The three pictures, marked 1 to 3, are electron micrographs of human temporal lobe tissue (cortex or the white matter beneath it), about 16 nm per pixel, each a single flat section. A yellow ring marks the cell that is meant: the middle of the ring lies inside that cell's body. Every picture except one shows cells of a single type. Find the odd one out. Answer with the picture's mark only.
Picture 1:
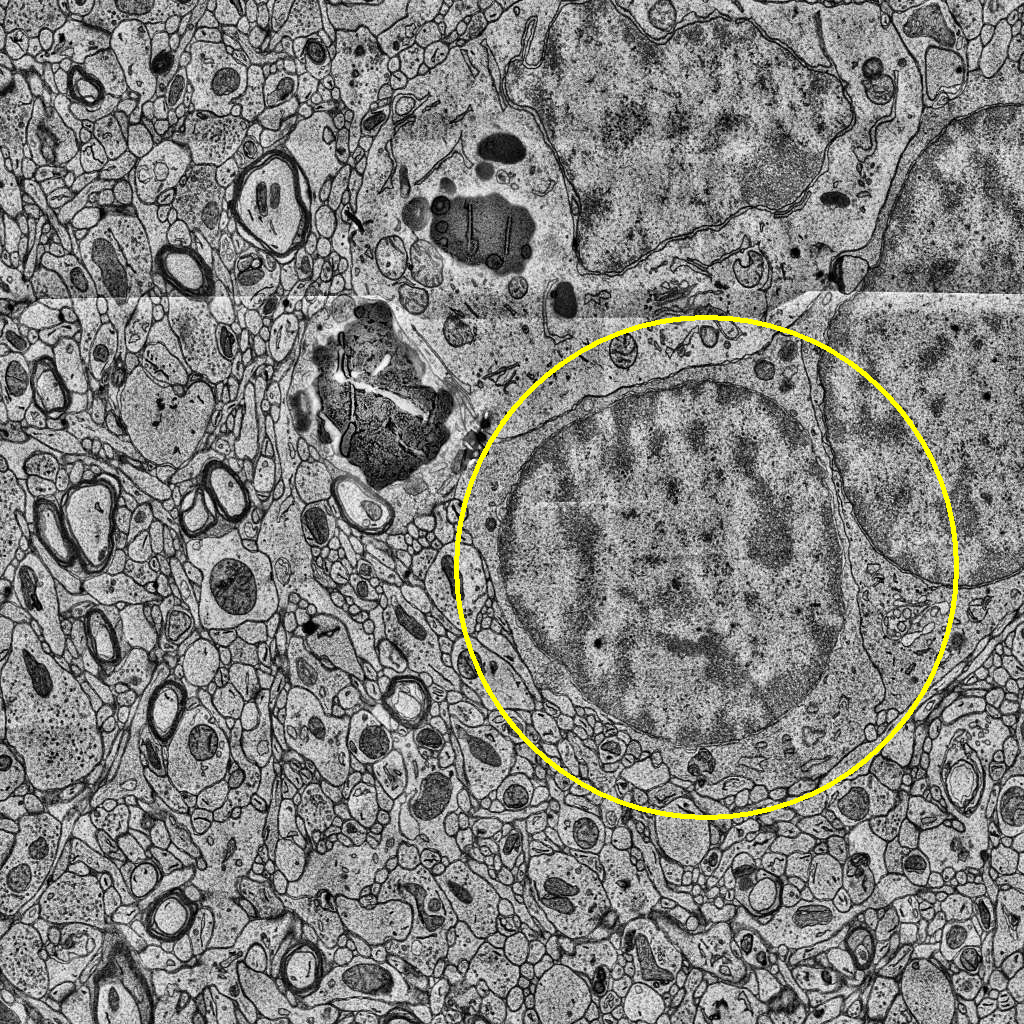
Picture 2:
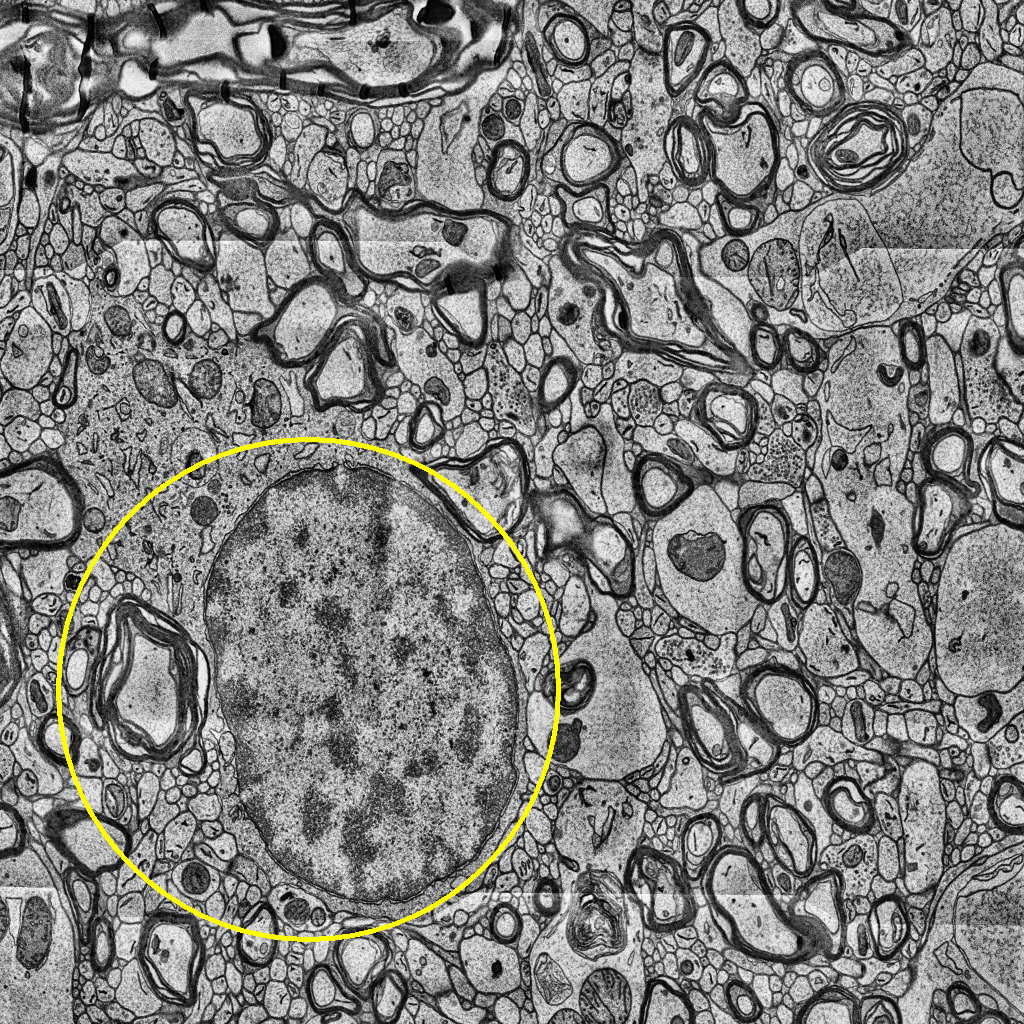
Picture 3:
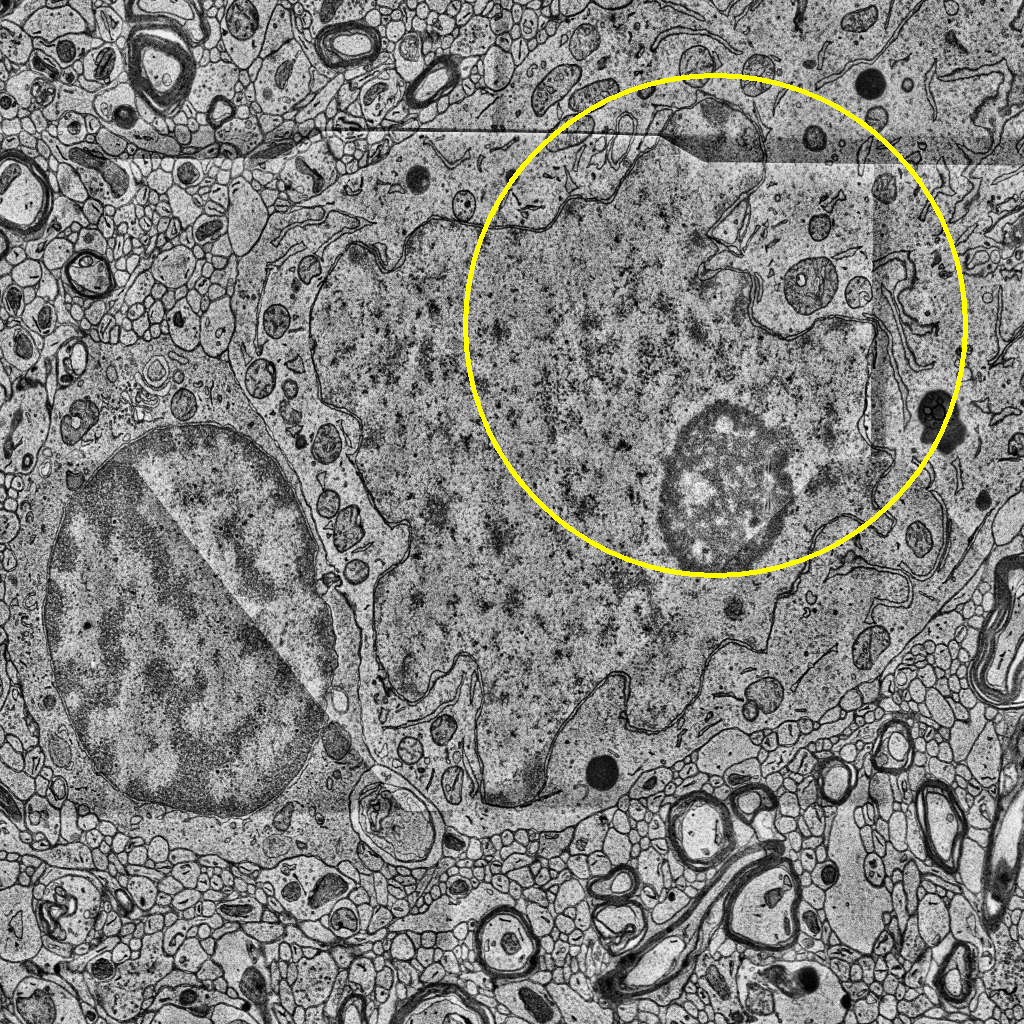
3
